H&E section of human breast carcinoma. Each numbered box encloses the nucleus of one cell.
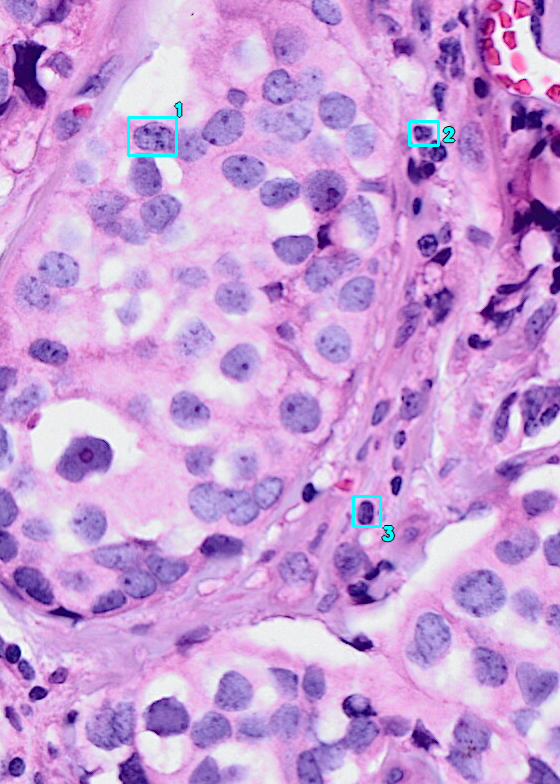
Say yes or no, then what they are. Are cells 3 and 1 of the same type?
No, cell 3 here is a lymphocyte, and cell 1 here is a carcinoma cell.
